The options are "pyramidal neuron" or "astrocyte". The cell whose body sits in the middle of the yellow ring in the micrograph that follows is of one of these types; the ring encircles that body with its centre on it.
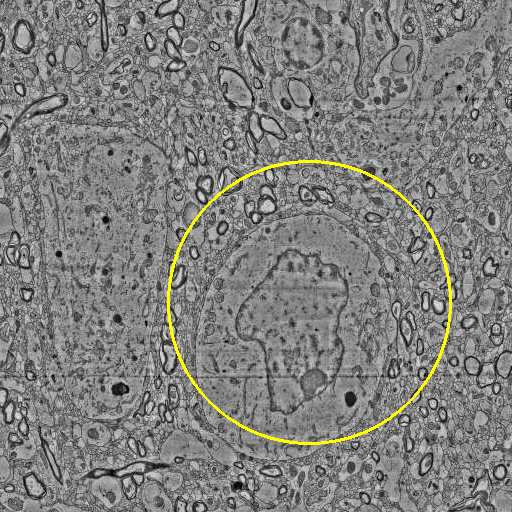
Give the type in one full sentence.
Going by the micrograph, the cell centred in the yellow ring is a pyramidal neuron.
